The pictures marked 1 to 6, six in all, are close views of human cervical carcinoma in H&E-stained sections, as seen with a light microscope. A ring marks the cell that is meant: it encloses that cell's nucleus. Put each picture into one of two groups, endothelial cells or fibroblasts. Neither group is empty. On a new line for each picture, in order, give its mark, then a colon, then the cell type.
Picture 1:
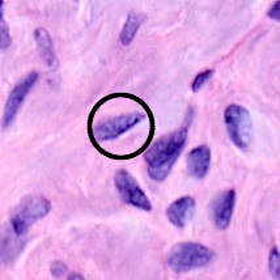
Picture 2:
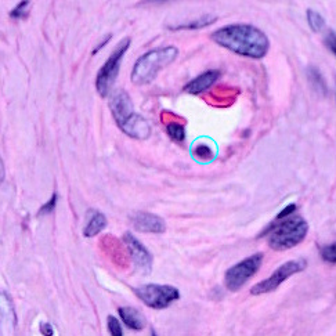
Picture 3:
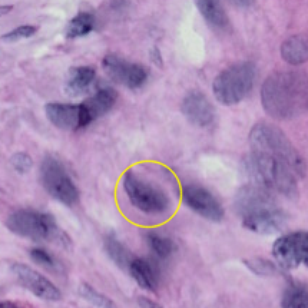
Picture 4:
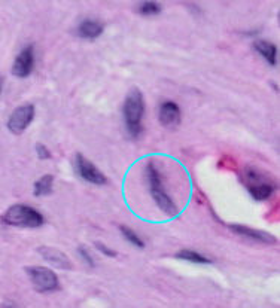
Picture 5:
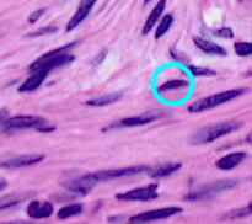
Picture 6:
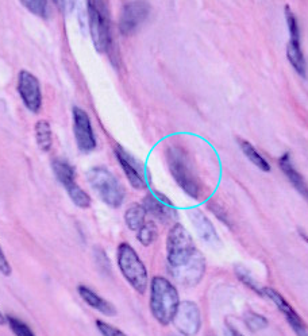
1: fibroblast
2: endothelial cell
3: fibroblast
4: fibroblast
5: fibroblast
6: endothelial cell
